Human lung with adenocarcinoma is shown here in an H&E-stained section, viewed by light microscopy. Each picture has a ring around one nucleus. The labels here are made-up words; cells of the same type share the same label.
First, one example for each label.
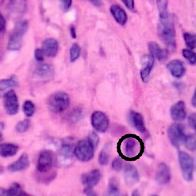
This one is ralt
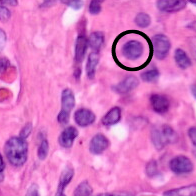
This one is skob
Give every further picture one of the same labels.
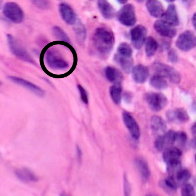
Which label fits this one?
ralt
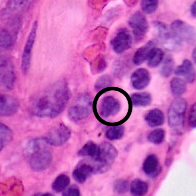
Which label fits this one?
skob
